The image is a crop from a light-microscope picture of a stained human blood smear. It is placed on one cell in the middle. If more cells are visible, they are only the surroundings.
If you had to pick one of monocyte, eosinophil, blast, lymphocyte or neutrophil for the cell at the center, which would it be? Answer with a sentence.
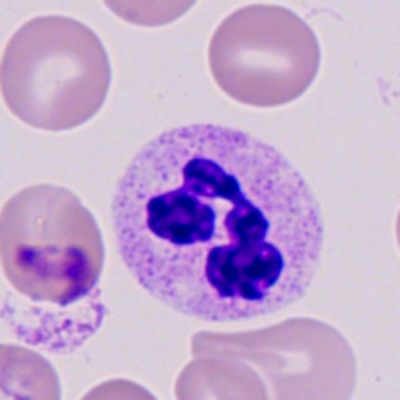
Looking at the middle of the crop, the cell there is a neutrophil.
